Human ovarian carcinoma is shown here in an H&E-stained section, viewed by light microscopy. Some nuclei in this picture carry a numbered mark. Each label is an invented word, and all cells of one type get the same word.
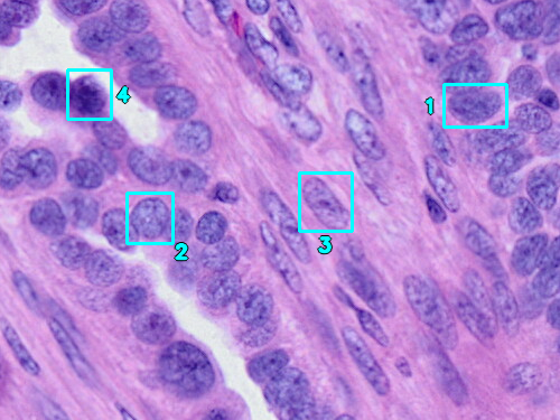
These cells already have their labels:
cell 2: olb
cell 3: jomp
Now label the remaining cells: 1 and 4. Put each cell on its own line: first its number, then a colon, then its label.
1: olb
4: olb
